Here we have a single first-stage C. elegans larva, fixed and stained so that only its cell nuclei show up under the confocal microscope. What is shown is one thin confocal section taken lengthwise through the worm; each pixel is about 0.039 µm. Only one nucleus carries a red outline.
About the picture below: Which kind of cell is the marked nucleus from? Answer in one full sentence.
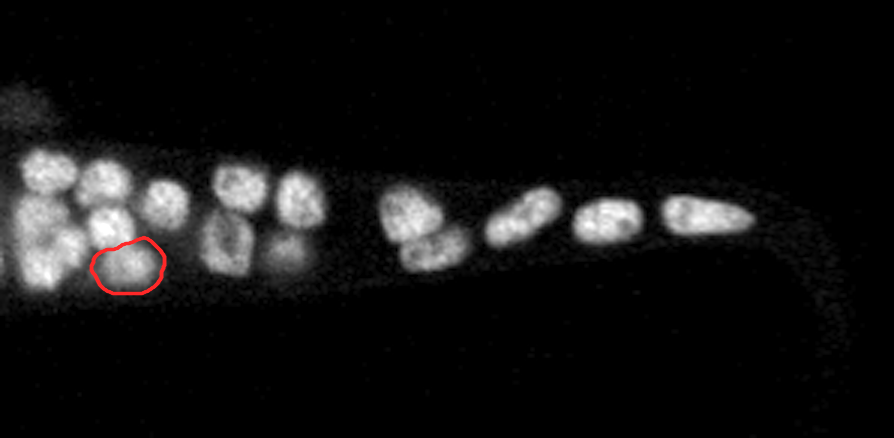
This nucleus is from a body wall muscle cell.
